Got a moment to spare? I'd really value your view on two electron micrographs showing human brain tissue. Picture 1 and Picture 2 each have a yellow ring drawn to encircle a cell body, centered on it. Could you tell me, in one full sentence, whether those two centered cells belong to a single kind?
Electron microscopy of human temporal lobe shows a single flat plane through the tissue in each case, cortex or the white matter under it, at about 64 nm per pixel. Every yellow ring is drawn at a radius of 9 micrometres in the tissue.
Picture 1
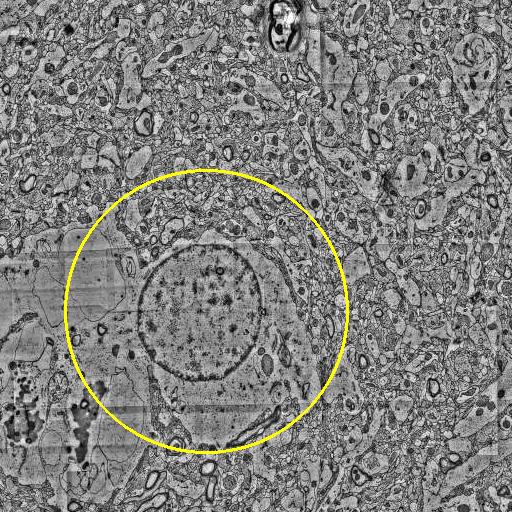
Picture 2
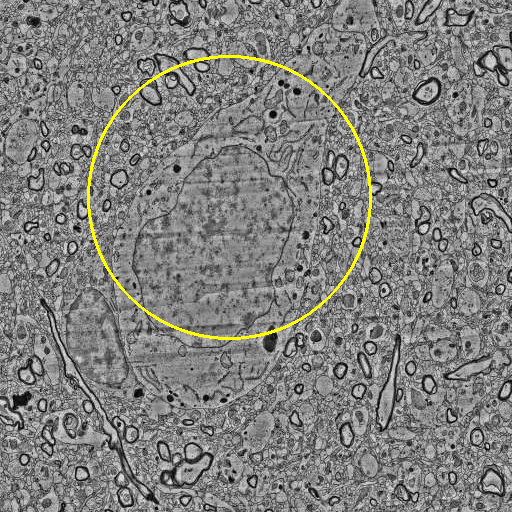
No, the two centered cells in Picture 1 and Picture 2 are of two kinds.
